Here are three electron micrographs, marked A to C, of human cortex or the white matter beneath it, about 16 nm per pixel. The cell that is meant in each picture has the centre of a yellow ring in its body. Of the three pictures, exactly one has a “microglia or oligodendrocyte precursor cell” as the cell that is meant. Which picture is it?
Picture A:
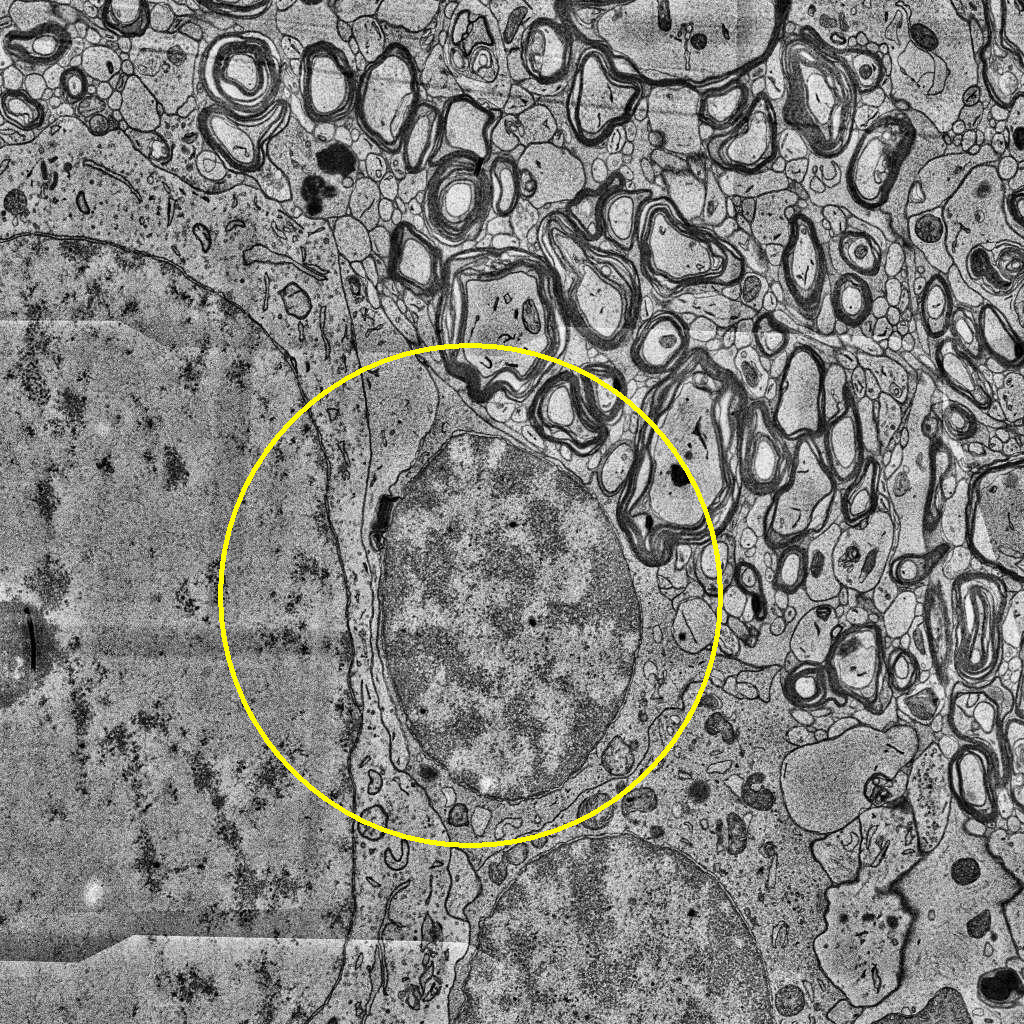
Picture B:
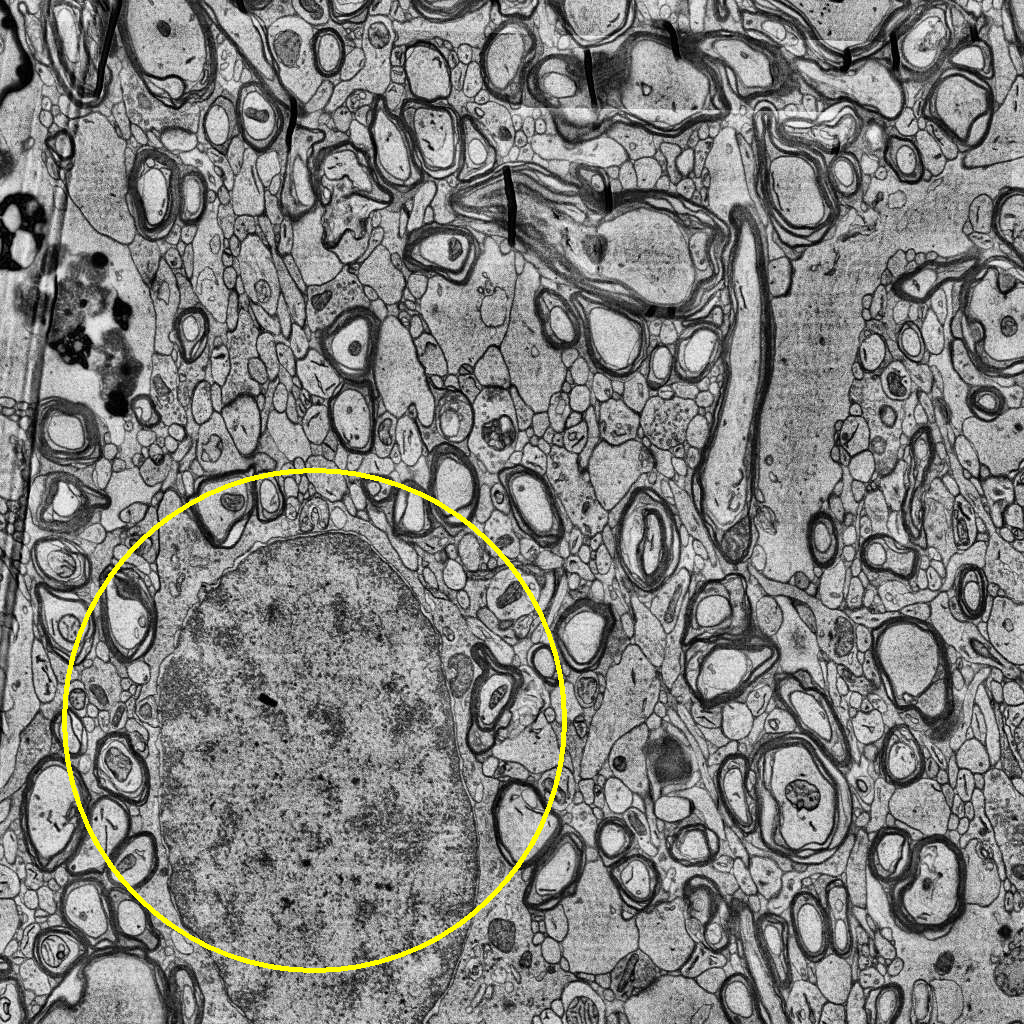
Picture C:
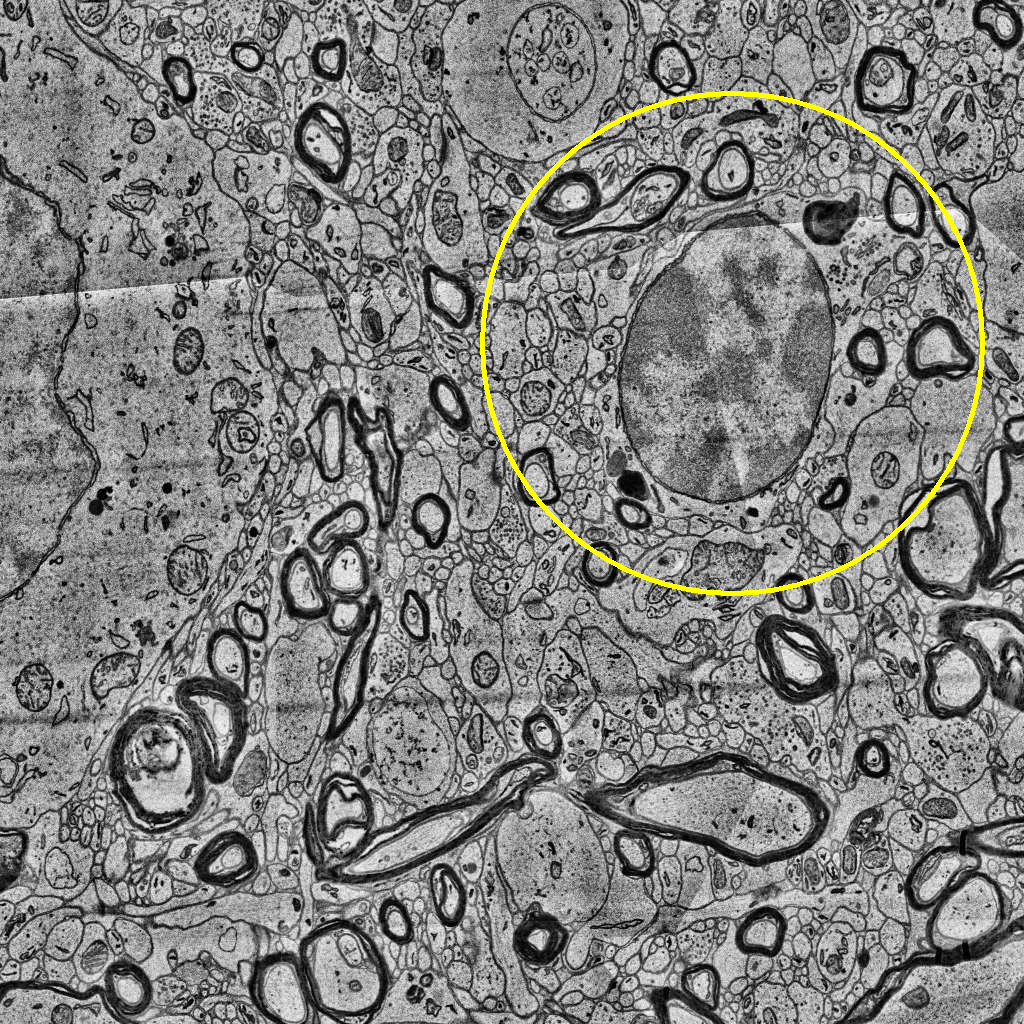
Picture C is the one that shows the “microglia or oligodendrocyte precursor cell”.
